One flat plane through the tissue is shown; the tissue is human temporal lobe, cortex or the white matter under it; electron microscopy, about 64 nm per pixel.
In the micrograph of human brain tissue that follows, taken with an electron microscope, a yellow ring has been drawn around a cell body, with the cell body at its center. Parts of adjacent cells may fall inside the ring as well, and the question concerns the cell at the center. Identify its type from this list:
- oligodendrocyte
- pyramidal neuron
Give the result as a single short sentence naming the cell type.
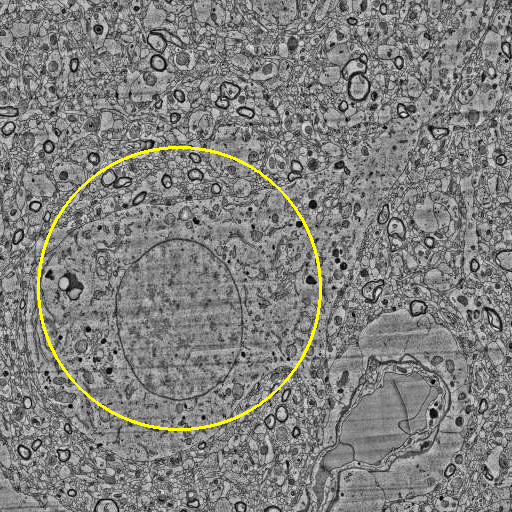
The ring is centered on a pyramidal neuron.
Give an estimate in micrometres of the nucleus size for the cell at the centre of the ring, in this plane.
In this plane, the nucleus of the cell at the centre of the ring measures about 10 by 8 micrometres.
